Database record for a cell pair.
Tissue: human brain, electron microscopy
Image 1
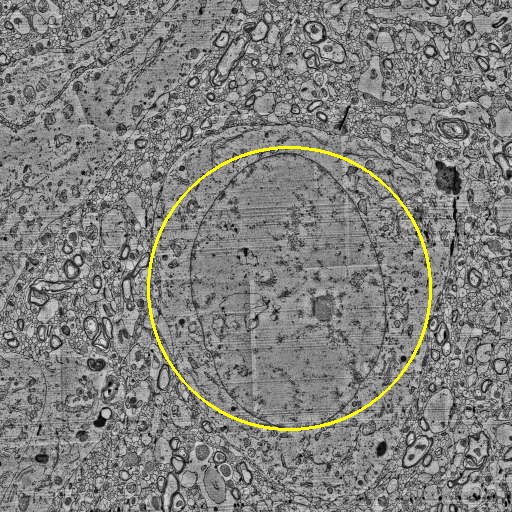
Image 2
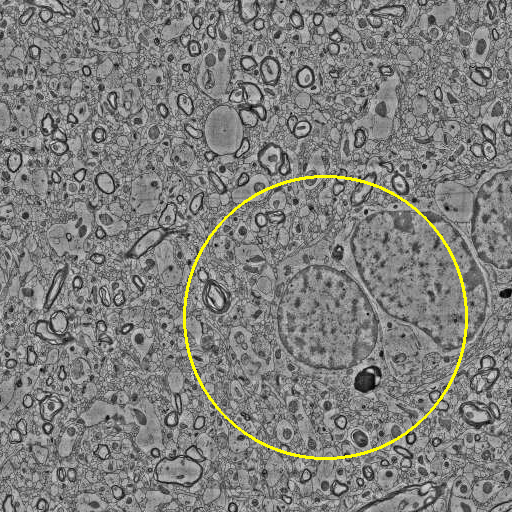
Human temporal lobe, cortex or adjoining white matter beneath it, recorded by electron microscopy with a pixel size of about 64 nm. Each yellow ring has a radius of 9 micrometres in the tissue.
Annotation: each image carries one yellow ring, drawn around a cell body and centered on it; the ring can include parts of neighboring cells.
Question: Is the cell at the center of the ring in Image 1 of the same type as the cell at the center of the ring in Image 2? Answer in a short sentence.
No, the cells are of two types.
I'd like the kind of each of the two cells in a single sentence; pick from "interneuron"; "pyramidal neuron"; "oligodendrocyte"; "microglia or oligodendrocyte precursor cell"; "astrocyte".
The first ring marks a pyramidal neuron, and the second ring marks an oligodendrocyte.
